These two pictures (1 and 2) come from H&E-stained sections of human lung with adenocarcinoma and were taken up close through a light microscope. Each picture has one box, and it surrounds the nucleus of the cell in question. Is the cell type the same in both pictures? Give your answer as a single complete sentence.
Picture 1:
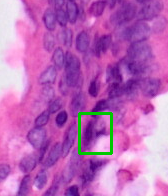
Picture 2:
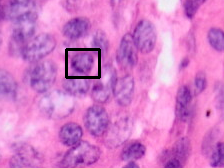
Yes, both cells are ciliated epithelial cells.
